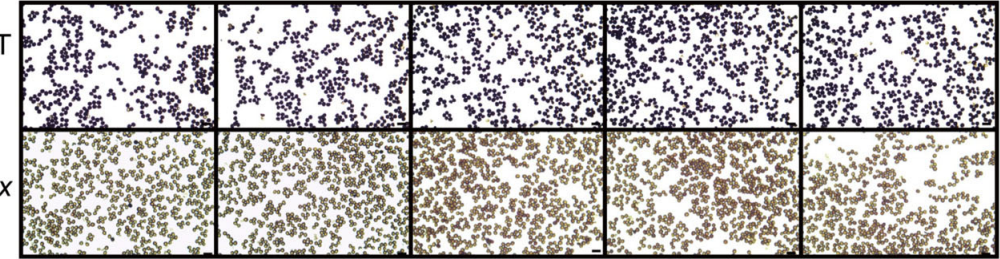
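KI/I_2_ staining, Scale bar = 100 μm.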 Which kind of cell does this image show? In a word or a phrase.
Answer: Mature pollens.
